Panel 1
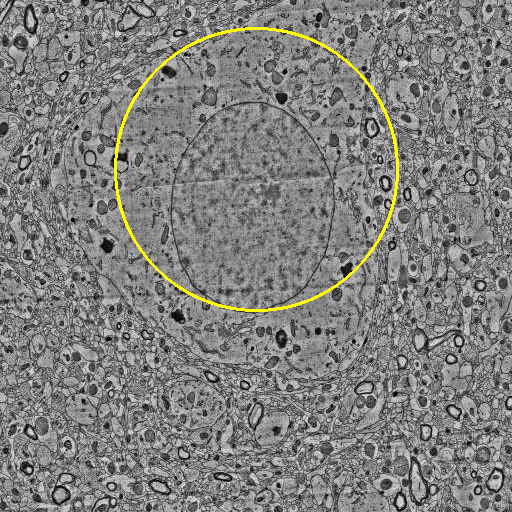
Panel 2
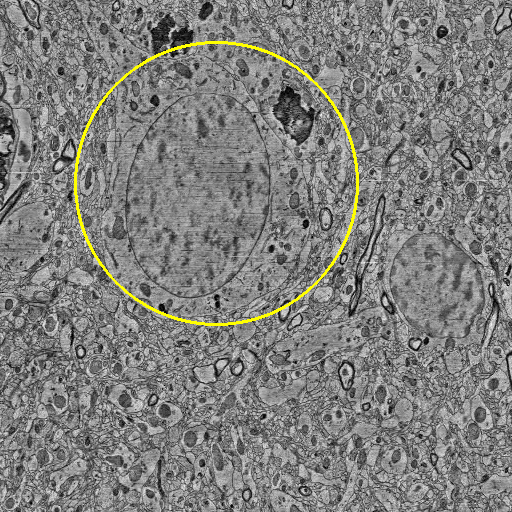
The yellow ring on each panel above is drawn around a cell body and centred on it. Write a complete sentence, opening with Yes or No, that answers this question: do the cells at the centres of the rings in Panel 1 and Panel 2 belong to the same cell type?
Yes, both cells belong to the same cell type.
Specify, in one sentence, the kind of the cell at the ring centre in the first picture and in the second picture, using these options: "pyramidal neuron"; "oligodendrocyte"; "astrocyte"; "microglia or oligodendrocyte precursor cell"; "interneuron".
Each cell, in the first picture and the second, is a pyramidal neuron.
